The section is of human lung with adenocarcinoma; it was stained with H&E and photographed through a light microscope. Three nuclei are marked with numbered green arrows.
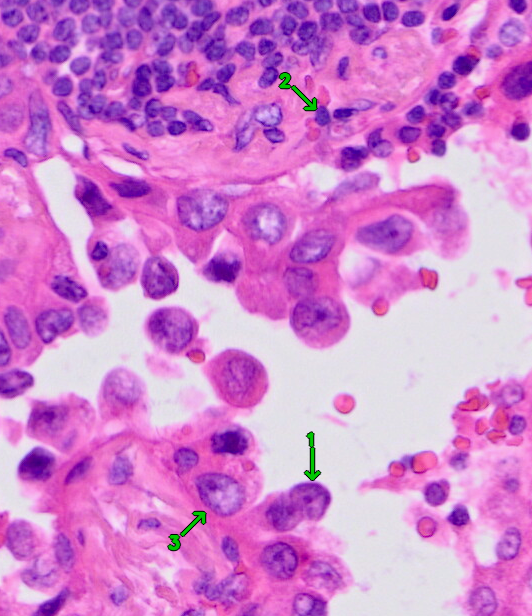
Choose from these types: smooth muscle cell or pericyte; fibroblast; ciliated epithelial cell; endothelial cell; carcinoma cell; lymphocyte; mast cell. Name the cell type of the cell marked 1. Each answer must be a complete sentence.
Cell 1 is classified as a carcinoma cell.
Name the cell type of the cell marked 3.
Cell 3 in the field of view is a carcinoma cell.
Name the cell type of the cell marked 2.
Cell 2, among those numbered, is a lymphocyte.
